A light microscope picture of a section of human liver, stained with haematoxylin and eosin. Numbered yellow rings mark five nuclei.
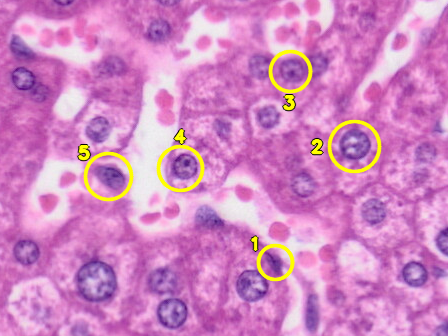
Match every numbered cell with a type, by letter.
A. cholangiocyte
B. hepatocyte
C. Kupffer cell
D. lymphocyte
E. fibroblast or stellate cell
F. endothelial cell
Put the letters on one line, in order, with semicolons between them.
E; B; B; B; C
